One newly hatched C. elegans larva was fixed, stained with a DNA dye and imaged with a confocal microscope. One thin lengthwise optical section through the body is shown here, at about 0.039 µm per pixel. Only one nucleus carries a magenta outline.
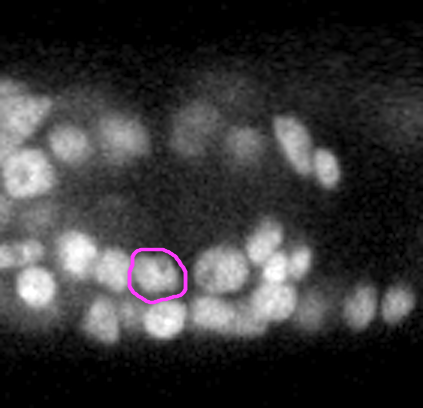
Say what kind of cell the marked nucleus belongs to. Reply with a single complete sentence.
The marked nucleus belongs to a pharyngeal marginal cell.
